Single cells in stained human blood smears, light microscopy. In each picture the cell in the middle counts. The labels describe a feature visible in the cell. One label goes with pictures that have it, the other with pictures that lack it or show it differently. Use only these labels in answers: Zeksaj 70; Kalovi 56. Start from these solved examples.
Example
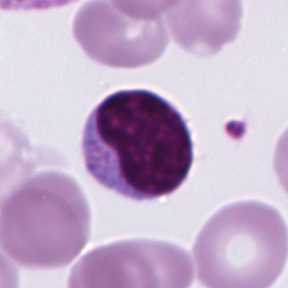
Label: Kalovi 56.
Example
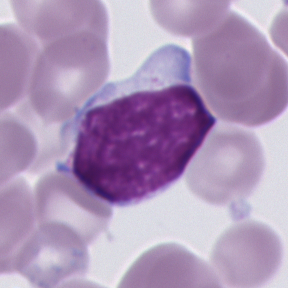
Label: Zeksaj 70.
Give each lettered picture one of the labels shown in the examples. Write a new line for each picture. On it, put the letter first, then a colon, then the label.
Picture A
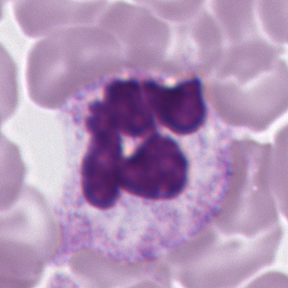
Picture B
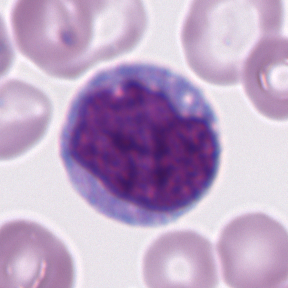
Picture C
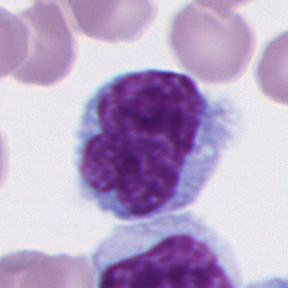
A: Kalovi 56.
B: Kalovi 56.
C: Zeksaj 70.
